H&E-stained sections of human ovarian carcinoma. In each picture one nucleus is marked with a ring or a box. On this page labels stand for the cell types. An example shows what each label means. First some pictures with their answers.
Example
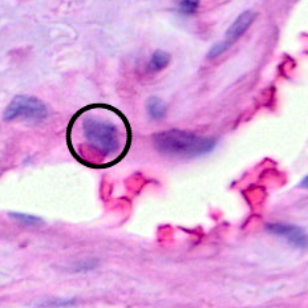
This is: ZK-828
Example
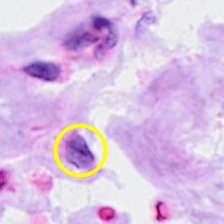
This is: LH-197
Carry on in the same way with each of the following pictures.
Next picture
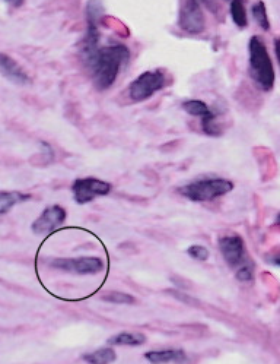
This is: LH-197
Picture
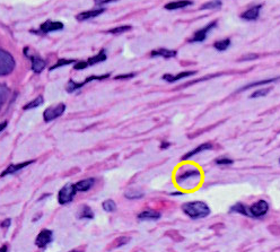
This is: LH-197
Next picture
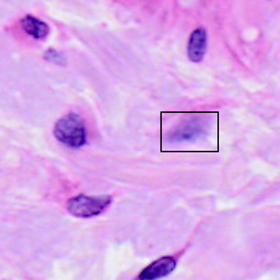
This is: LH-197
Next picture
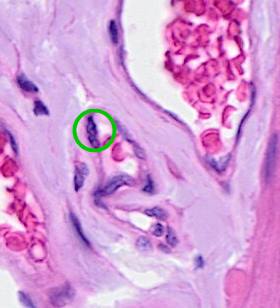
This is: ZK-828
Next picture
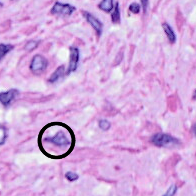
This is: LH-197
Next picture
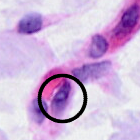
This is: ZK-828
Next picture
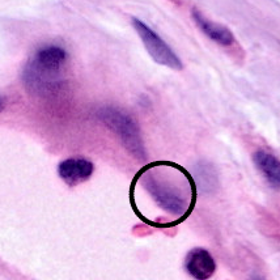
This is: ZK-828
